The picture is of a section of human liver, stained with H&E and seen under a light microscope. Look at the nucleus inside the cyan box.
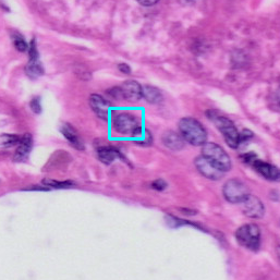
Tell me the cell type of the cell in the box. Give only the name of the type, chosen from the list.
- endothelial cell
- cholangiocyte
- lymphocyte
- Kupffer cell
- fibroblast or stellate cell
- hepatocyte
cholangiocyte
